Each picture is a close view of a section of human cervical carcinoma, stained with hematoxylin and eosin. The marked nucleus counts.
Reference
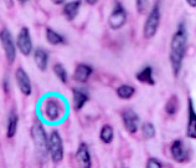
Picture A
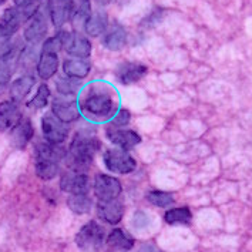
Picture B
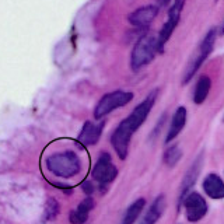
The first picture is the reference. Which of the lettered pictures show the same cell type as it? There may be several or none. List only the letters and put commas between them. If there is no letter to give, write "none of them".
none of them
